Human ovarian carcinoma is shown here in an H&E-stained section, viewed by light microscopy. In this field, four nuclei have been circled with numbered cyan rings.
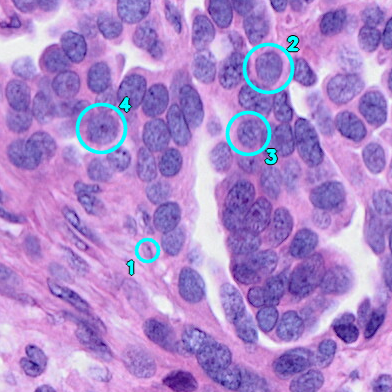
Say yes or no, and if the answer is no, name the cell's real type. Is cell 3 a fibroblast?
No, it is a carcinoma cell.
